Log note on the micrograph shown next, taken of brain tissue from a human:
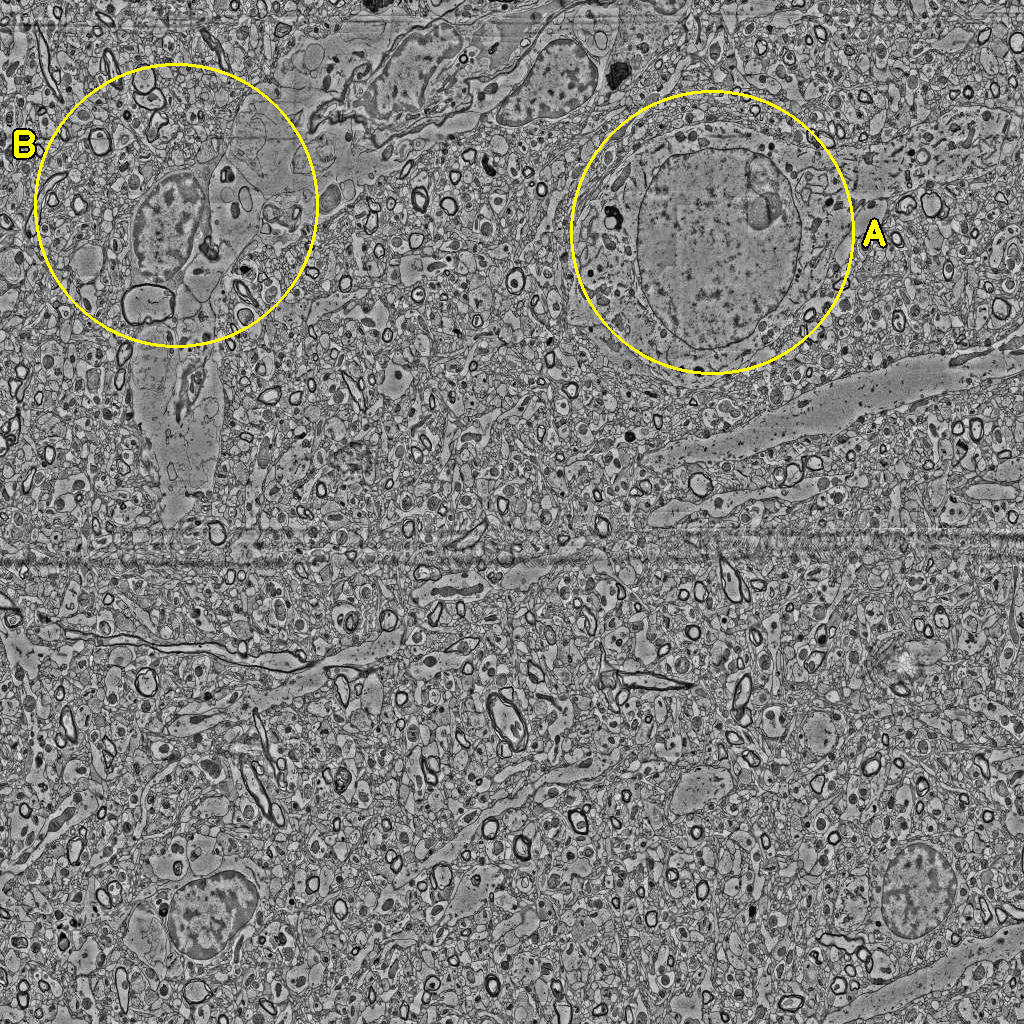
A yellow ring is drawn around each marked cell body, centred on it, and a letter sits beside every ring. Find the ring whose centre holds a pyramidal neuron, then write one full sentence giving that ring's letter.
In the picture, the cell asked for sits at the centre of ring A.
